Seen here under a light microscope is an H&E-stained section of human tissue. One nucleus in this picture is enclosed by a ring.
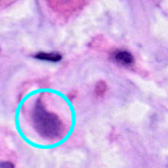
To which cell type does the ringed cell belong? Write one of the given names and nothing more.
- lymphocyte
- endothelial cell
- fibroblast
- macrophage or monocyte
endothelial cell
